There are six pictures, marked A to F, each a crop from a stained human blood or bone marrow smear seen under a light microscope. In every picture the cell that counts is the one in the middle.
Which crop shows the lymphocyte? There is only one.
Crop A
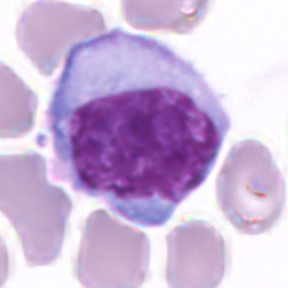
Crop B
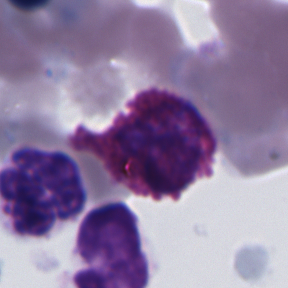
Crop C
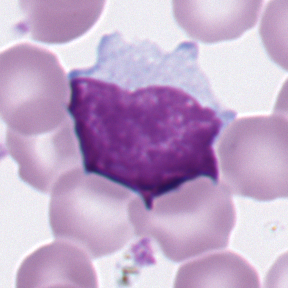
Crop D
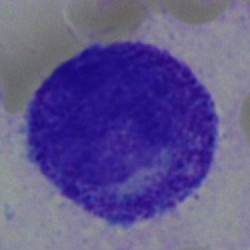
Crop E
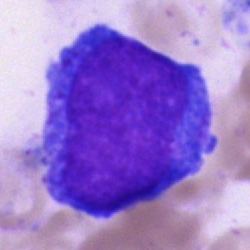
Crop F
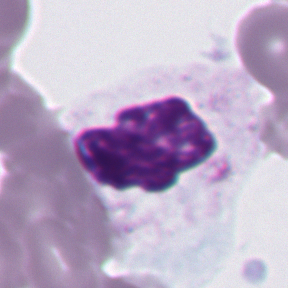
C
